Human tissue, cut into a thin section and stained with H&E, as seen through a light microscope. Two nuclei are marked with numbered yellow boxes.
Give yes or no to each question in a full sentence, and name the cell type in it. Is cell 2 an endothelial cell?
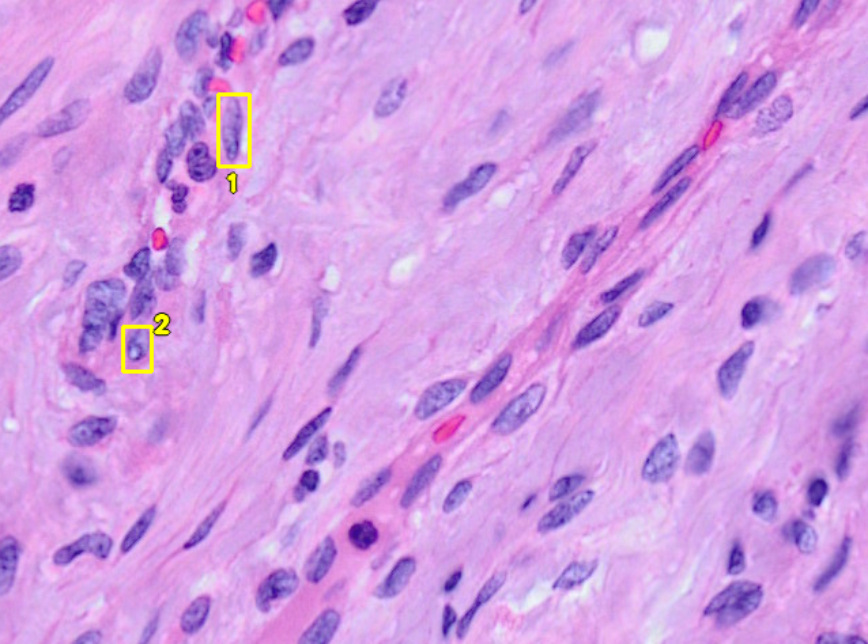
No, it's not an endothelial cell at number 2; that cell is a smooth muscle cell.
